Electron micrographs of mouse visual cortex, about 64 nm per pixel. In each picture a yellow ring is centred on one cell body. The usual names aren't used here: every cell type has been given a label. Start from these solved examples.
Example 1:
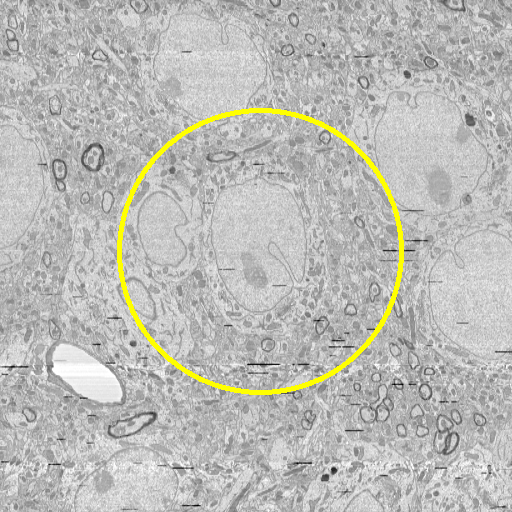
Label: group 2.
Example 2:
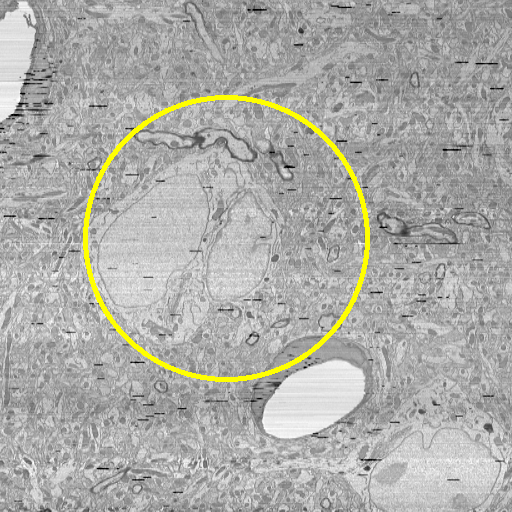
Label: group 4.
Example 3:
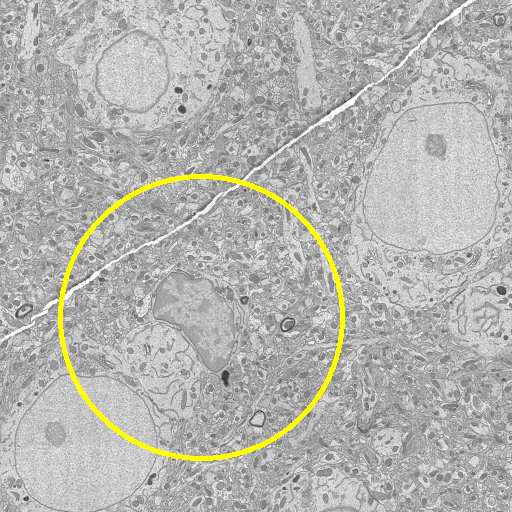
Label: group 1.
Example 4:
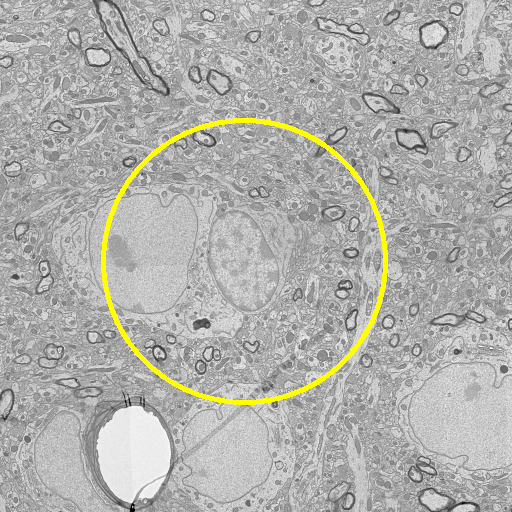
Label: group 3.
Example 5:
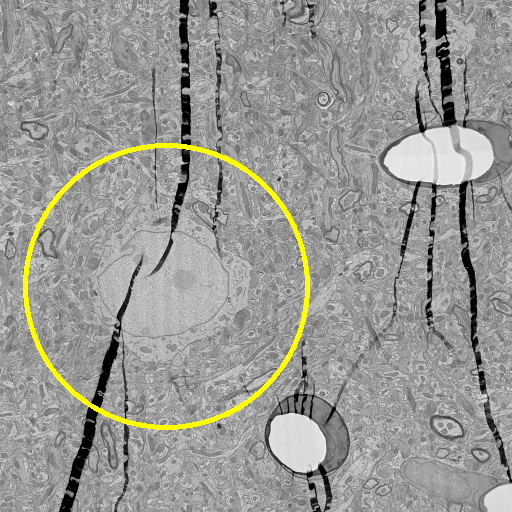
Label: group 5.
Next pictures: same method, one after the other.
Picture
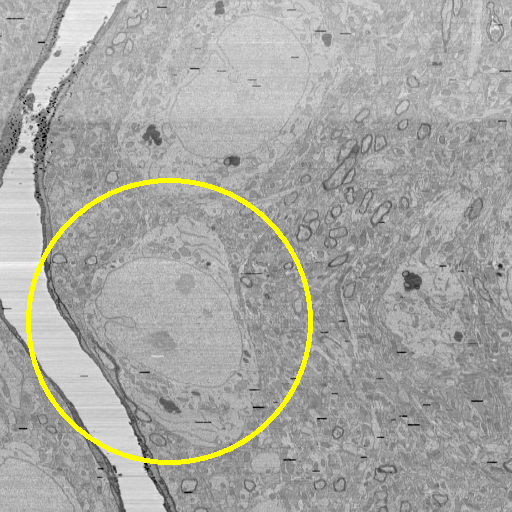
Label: group 5.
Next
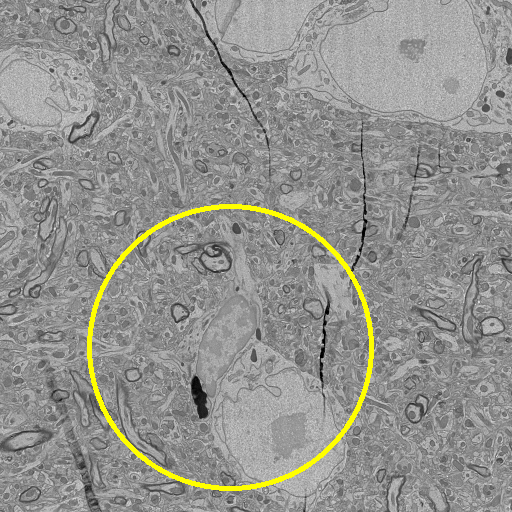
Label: group 1.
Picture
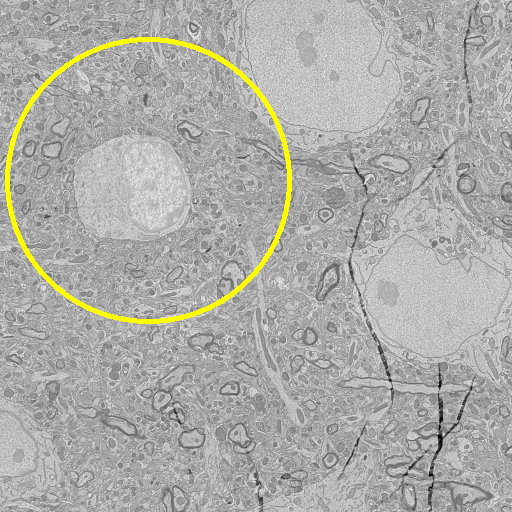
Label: group 3.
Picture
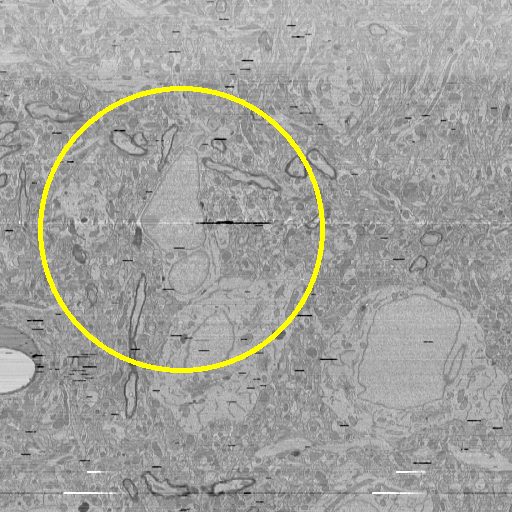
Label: group 4.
